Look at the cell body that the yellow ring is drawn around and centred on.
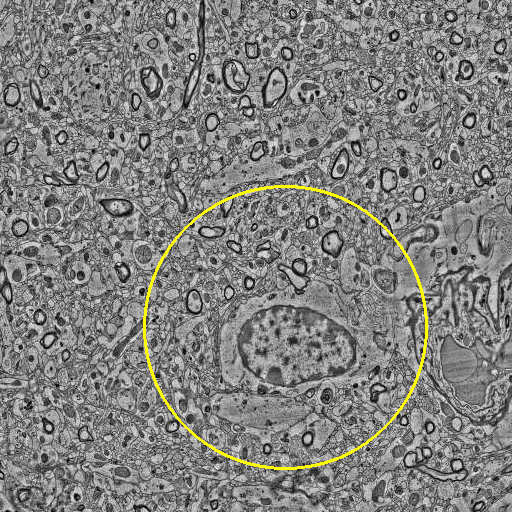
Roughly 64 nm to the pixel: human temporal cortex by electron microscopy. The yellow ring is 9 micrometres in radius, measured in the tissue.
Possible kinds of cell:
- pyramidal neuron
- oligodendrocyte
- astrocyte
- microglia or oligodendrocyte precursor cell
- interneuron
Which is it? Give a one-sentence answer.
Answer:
The centred cell body is that of a microglial cell or oligodendrocyte precursor cell.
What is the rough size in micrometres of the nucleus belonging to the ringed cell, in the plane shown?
About 7 micrometres by about 5 micrometres in this plane.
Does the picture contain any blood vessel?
Yes.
